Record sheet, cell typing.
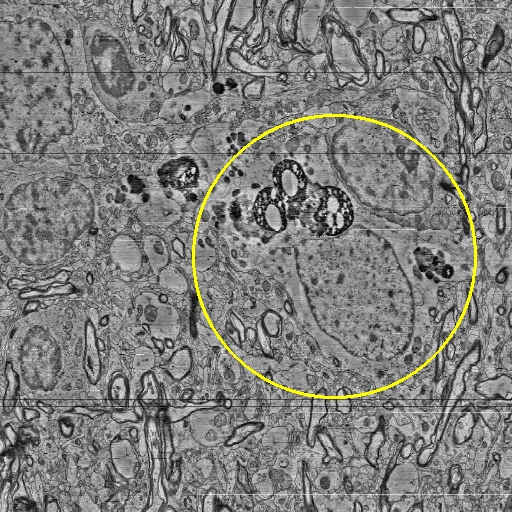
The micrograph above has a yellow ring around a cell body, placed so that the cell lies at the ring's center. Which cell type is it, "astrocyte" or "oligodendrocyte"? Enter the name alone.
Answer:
astrocyte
